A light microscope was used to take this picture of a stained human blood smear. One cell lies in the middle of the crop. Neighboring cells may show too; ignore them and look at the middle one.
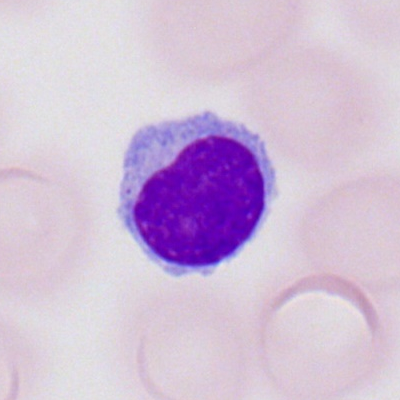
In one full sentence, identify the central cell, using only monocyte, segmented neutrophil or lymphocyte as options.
The identification for the central cell is a lymphocyte.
